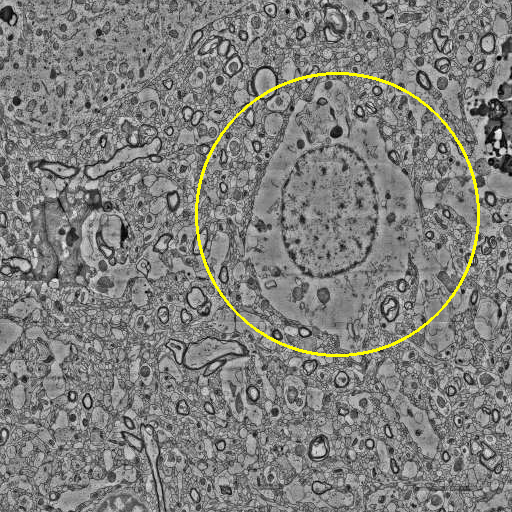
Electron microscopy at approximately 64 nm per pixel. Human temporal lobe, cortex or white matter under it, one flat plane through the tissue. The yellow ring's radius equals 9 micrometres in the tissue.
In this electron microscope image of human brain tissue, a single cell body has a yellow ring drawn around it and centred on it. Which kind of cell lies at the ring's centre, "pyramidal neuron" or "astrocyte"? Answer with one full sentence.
It is an astrocyte whose cell body lies at the centre of the yellow ring here.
